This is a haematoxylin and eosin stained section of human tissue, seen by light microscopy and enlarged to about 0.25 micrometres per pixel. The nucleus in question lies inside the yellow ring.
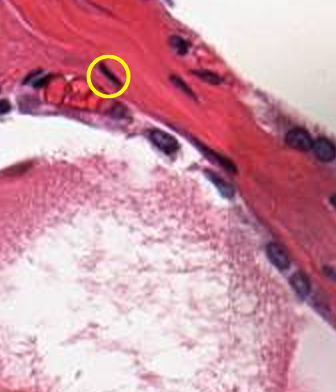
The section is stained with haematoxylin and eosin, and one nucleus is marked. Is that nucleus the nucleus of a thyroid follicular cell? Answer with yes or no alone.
no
